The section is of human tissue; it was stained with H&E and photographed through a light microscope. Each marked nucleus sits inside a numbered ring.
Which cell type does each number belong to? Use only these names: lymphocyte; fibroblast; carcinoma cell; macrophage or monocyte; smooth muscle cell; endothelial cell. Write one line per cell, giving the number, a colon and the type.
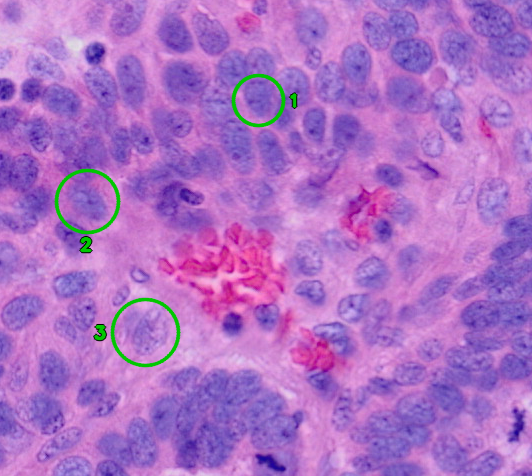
1: carcinoma cell
2: carcinoma cell
3: fibroblast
